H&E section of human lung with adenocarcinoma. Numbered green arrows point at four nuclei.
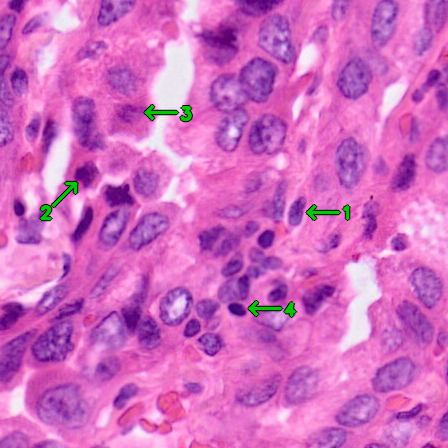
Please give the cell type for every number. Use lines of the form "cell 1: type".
cell 1: lymphocyte
cell 2: carcinoma cell
cell 3: carcinoma cell
cell 4: lymphocyte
